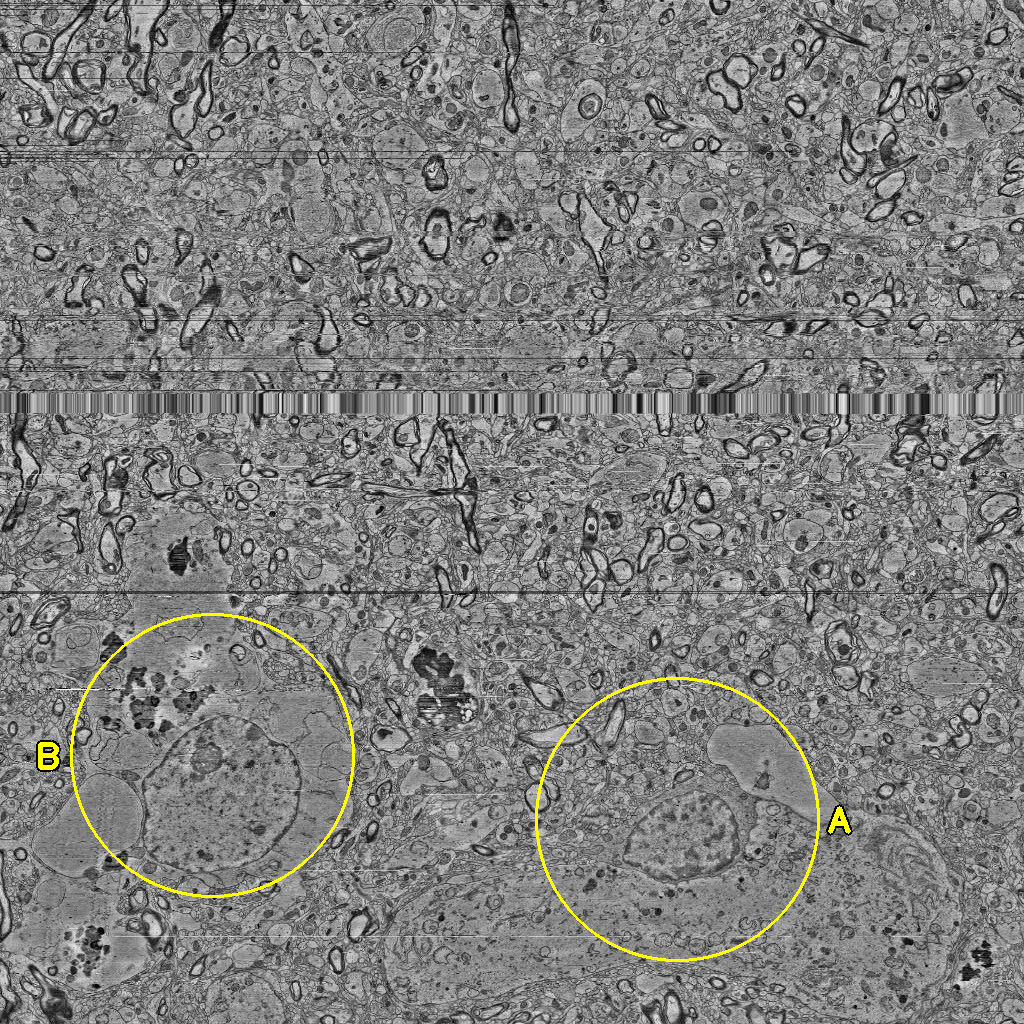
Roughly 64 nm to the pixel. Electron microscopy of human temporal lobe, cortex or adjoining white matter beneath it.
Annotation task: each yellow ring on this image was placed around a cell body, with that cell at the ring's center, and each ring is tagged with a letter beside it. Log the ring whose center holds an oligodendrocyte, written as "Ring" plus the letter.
Ring A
